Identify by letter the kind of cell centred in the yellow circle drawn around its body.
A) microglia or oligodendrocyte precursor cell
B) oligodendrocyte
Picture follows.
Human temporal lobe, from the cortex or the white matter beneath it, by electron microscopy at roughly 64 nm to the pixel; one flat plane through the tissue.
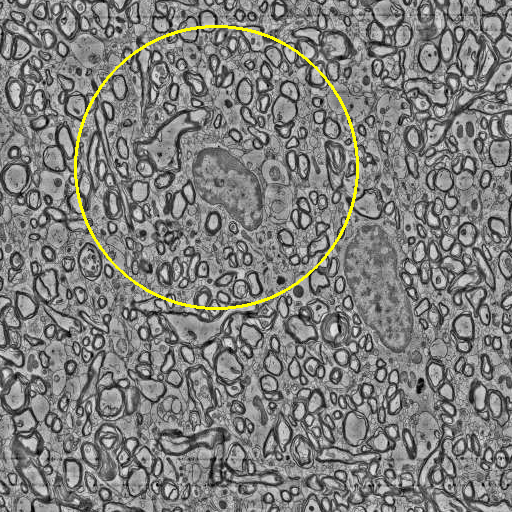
A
